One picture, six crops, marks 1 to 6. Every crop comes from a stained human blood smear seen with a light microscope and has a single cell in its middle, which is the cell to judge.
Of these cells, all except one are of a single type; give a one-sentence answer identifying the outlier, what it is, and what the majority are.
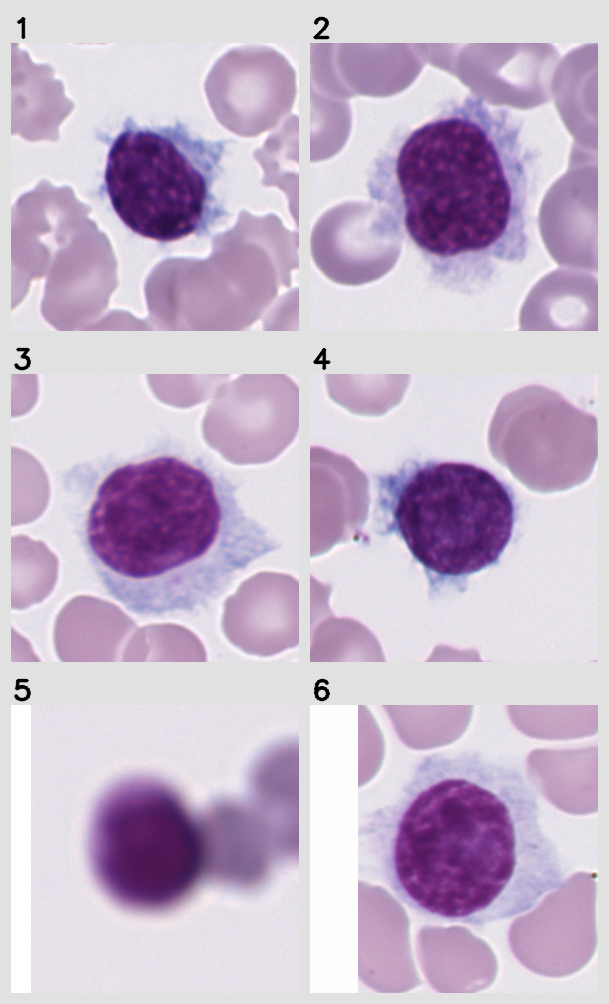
With the other crops all showing hairy cells, crop 5 differs by showing a smudge cell.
